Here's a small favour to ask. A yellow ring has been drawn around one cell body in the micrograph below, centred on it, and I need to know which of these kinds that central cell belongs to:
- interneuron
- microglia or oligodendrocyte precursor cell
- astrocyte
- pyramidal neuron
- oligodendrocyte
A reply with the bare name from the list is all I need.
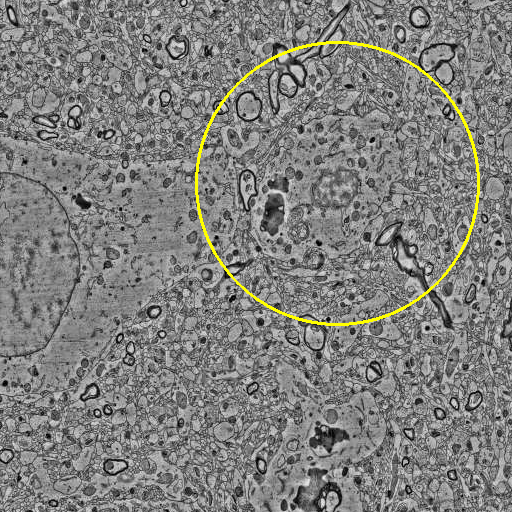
interneuron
